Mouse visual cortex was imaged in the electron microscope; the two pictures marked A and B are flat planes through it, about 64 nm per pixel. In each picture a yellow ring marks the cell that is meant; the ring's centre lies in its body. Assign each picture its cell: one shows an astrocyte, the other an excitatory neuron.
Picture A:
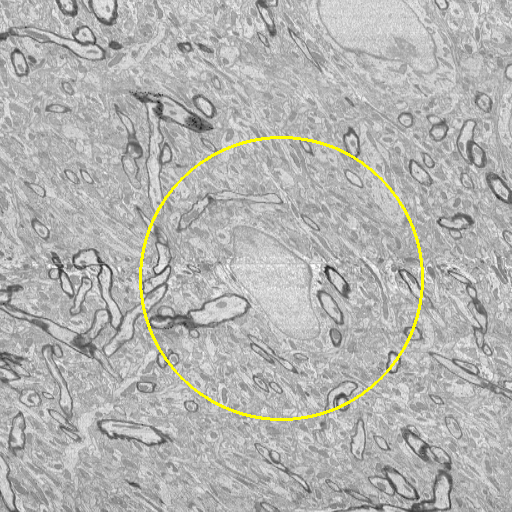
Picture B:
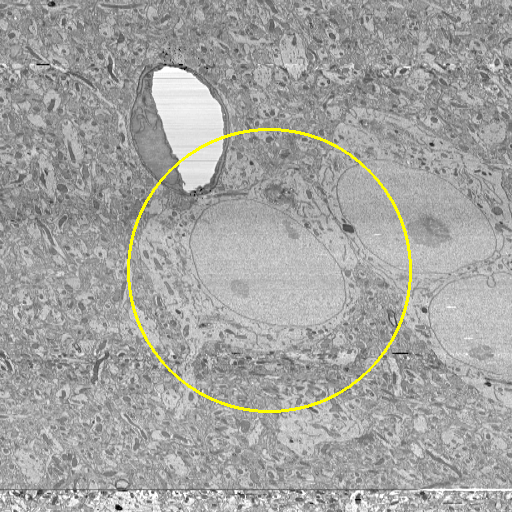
In picture A the cell is an astrocyte; in picture B, an excitatory neuron.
